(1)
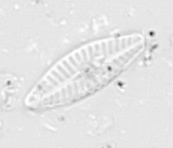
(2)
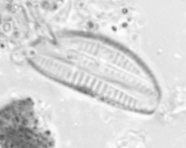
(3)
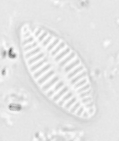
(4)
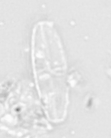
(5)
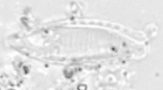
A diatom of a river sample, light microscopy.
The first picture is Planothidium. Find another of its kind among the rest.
Picture 3.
